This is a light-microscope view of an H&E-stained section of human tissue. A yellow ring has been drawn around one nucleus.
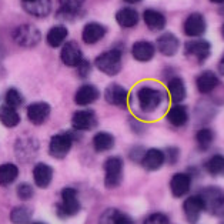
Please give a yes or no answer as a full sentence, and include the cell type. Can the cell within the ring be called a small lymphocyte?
Yes, the cell within the ring is rightly regarded as a small lymphocyte.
